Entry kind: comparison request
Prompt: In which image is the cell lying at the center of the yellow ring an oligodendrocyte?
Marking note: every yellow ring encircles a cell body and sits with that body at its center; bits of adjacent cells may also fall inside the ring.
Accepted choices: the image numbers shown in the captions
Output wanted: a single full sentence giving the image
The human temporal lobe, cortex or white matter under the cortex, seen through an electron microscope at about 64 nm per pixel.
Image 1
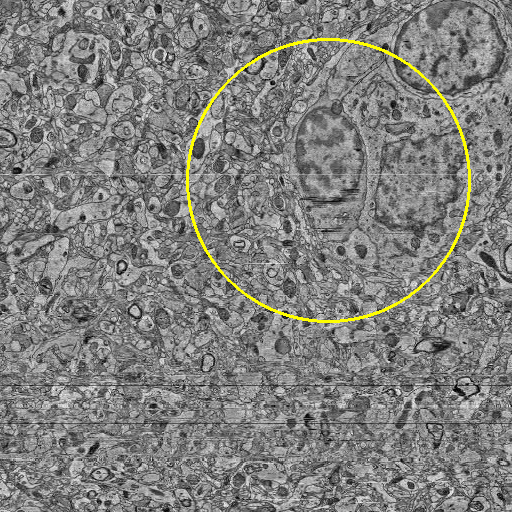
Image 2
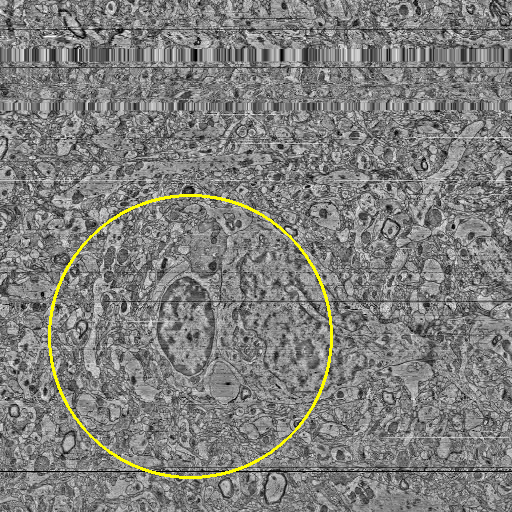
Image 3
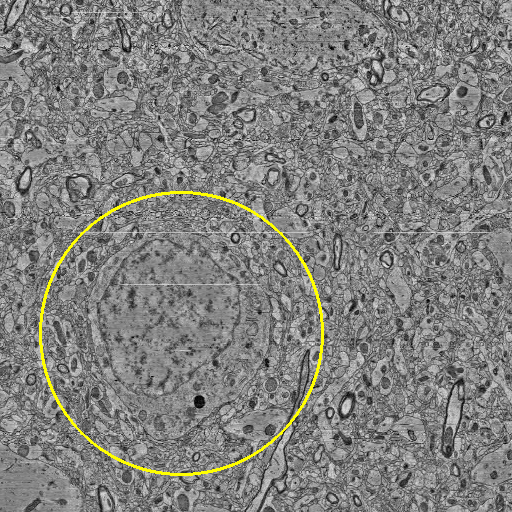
In image 1, the ringed cell at the center matches the prompt.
